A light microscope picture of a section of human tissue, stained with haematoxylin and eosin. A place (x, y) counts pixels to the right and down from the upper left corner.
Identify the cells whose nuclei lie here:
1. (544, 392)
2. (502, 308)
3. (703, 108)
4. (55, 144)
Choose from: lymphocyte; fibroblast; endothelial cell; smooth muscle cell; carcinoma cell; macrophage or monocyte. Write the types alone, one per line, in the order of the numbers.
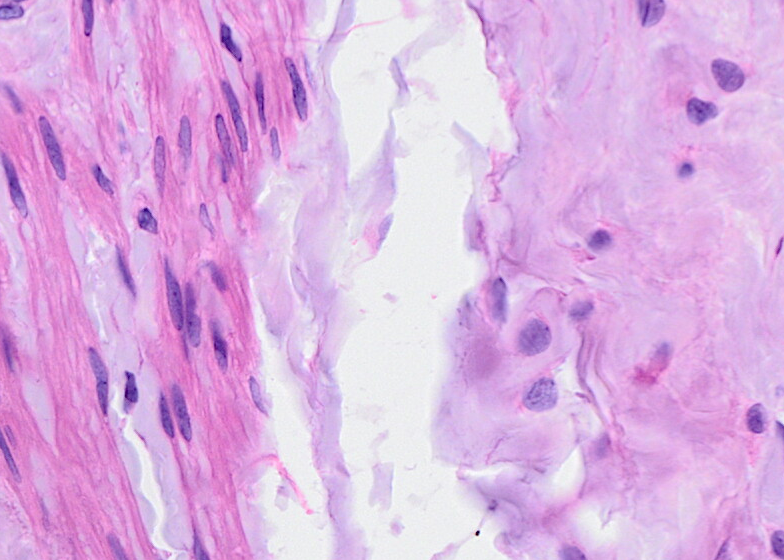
fibroblast
fibroblast
fibroblast
smooth muscle cell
